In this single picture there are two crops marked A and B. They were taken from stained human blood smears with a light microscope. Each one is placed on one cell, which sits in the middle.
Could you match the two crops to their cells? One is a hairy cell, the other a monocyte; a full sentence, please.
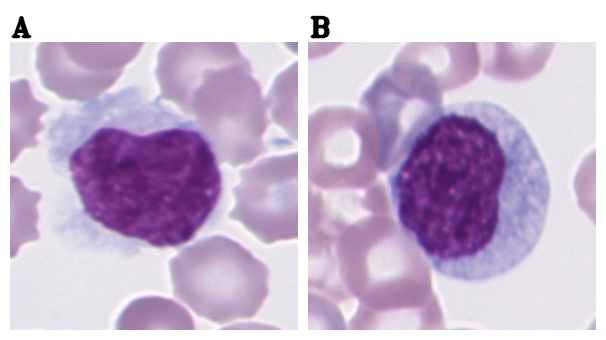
There is a hairy cell in crop A and a monocyte in crop B.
